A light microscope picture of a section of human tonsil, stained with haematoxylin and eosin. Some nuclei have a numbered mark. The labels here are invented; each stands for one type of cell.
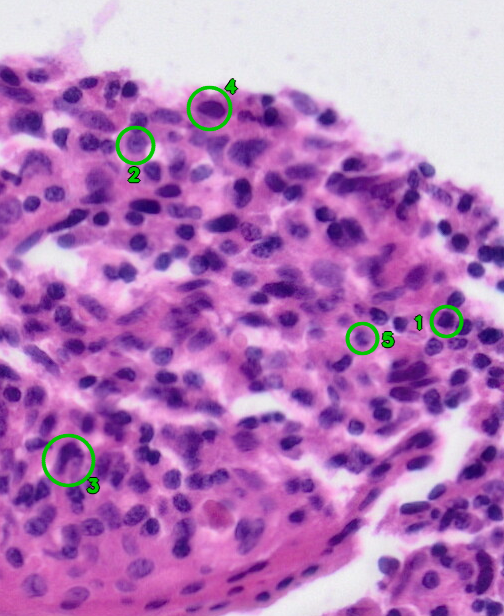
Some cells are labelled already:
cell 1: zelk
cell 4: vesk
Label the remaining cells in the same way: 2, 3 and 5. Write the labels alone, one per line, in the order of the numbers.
zelk
vesk
zelk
